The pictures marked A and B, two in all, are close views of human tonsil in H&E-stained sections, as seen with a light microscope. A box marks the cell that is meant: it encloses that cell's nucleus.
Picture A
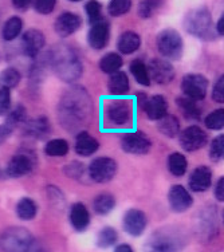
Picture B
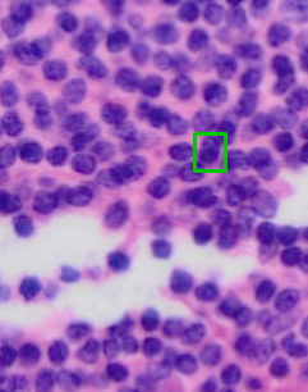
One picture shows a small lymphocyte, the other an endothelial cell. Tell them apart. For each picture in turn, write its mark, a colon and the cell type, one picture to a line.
A: endothelial cell
B: small lymphocyte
